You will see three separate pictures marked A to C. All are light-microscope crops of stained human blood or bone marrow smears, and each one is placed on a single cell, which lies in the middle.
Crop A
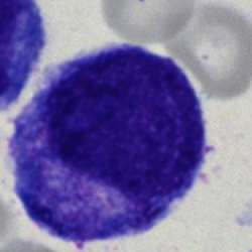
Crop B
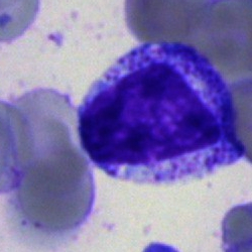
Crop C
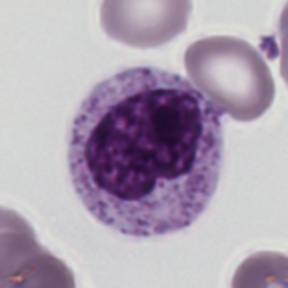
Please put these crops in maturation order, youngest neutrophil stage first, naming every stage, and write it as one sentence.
Least to most mature, the crops are crop A (a promyelocyte), crop B (a myelocyte) and crop C (a metamyelocyte).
